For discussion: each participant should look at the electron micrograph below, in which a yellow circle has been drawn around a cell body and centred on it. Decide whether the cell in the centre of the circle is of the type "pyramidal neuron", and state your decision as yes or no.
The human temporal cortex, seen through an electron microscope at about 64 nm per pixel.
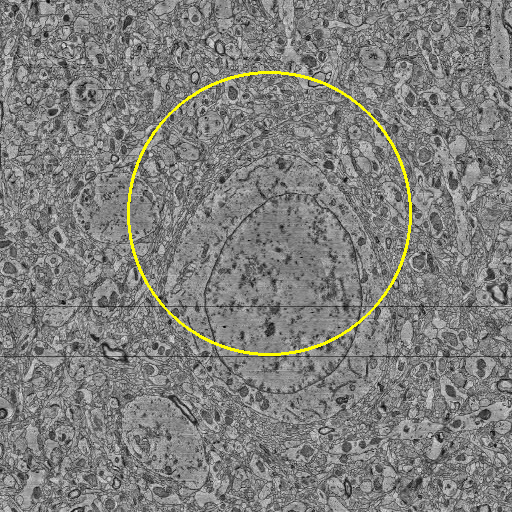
yes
